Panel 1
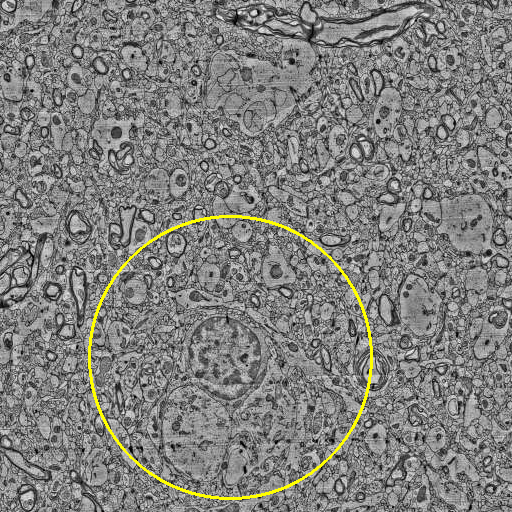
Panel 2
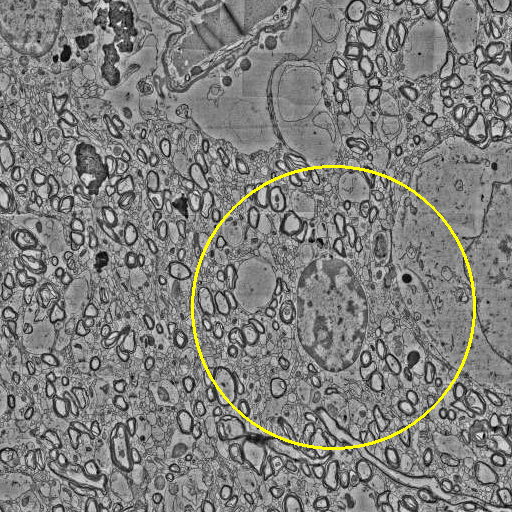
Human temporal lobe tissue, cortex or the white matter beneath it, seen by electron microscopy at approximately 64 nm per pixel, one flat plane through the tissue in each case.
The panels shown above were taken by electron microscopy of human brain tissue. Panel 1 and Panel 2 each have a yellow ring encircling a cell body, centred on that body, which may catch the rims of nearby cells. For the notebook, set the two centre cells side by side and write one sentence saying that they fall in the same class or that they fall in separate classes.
The centred cells of Panel 1 and Panel 2 fall in separate classes.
